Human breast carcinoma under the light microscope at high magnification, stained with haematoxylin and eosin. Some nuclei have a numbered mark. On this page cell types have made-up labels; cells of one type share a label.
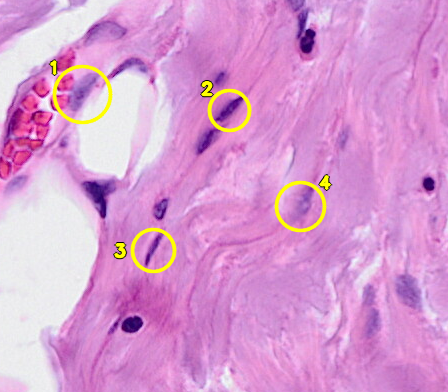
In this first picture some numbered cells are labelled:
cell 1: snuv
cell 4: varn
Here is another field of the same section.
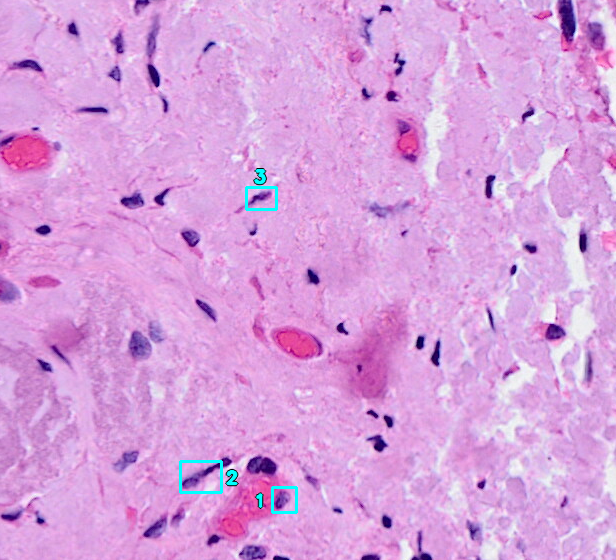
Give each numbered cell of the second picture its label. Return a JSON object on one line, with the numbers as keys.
{"1": "snuv", "2": "varn", "3": "varn"}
